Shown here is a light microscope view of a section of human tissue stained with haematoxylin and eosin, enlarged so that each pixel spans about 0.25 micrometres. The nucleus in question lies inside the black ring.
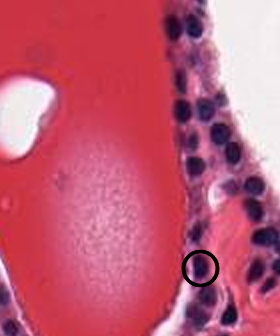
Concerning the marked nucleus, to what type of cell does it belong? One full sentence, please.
Within the picture, the marked nucleus belongs to a thyroid follicular cell.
